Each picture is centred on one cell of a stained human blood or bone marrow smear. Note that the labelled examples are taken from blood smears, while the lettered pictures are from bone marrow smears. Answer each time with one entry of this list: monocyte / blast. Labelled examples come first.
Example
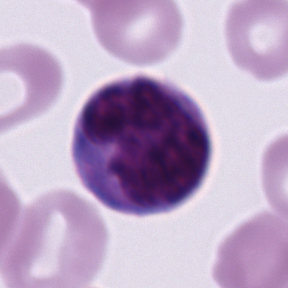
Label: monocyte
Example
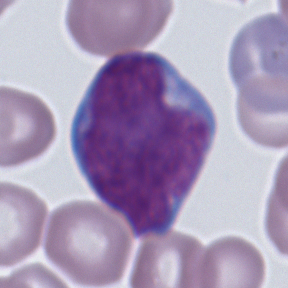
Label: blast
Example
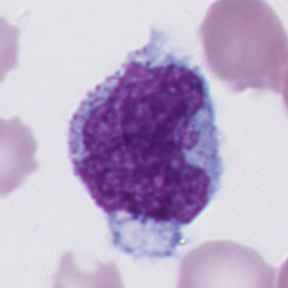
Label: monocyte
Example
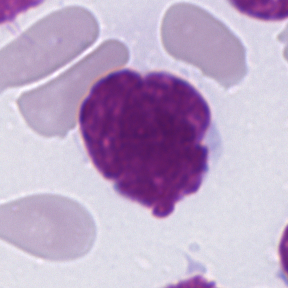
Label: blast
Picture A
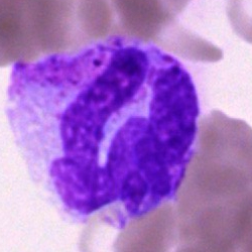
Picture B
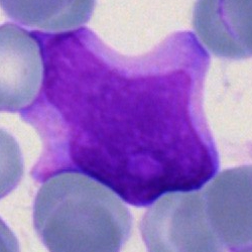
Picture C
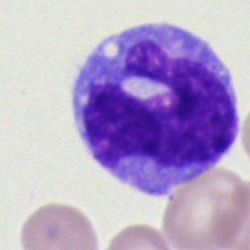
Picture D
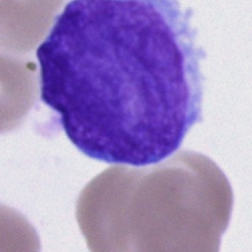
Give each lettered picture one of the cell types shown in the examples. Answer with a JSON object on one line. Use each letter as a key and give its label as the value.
{"A": "monocyte", "B": "blast", "C": "monocyte", "D": "blast"}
